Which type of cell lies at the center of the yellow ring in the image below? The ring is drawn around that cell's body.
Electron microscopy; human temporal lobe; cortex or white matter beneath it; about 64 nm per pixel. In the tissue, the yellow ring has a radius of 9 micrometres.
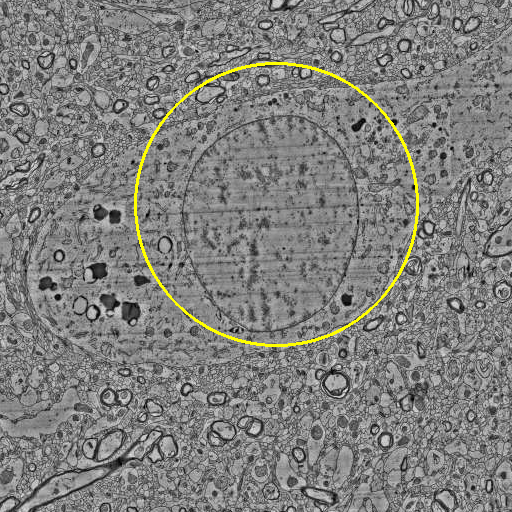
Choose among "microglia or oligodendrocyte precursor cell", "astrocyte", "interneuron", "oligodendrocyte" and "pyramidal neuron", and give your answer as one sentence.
The cell body at the center belongs to a pyramidal neuron.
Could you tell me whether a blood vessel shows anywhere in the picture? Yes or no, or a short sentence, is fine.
No, no vessel shows anywhere in the image.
